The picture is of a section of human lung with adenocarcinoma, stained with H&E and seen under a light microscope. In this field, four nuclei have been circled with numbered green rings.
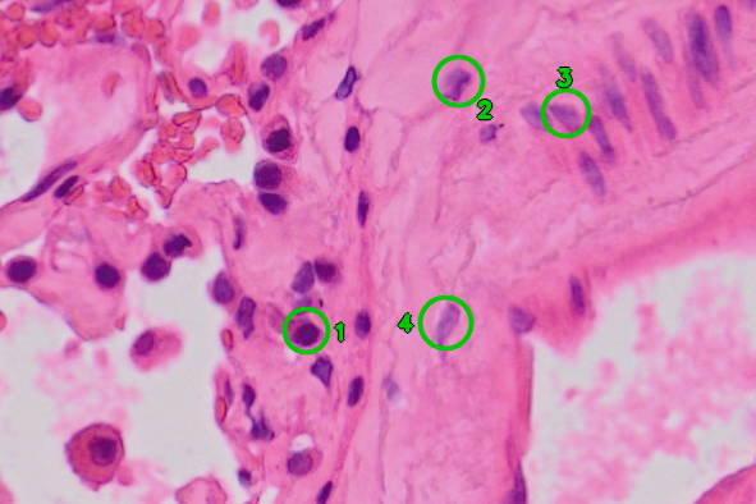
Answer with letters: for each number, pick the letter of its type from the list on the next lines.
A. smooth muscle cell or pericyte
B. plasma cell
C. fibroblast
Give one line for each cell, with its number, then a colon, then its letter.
1: B
2: C
3: A
4: C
